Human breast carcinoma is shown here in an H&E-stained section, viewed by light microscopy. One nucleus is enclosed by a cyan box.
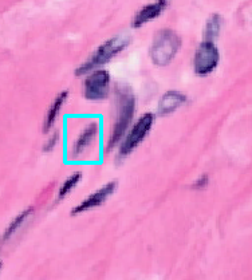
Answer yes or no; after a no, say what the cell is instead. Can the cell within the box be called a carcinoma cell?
No, it is an endothelial cell.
